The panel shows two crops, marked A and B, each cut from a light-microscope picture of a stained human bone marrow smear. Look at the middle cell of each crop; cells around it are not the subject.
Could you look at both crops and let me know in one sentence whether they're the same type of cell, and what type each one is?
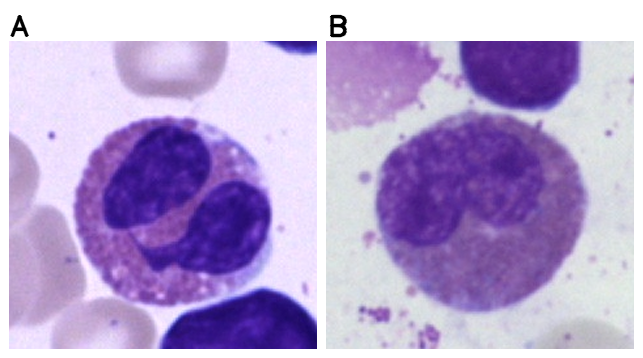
Yes, the central cells in both crops are eosinophils.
